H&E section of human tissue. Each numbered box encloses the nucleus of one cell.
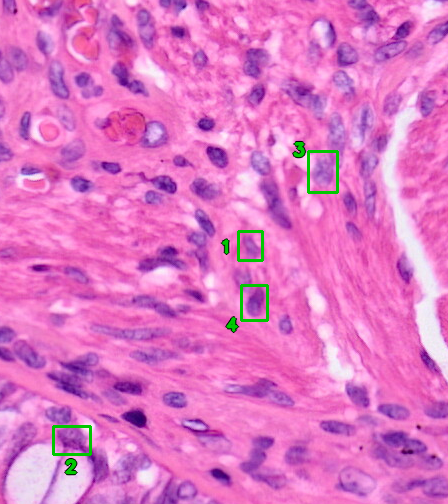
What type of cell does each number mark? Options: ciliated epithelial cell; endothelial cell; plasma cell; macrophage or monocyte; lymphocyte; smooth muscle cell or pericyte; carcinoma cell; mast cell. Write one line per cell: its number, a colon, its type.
1: smooth muscle cell or pericyte
2: ciliated epithelial cell
3: smooth muscle cell or pericyte
4: smooth muscle cell or pericyte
